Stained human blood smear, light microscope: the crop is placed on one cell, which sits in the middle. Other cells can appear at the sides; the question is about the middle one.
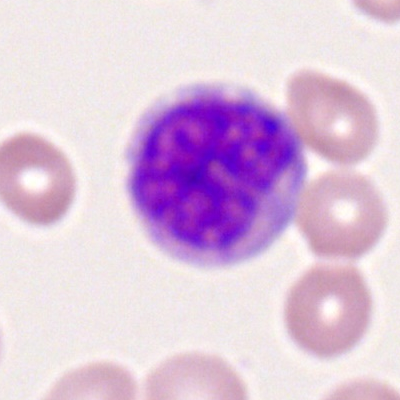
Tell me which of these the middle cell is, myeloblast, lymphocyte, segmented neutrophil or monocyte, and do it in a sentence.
The cell at the centre of the field is a monocyte.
